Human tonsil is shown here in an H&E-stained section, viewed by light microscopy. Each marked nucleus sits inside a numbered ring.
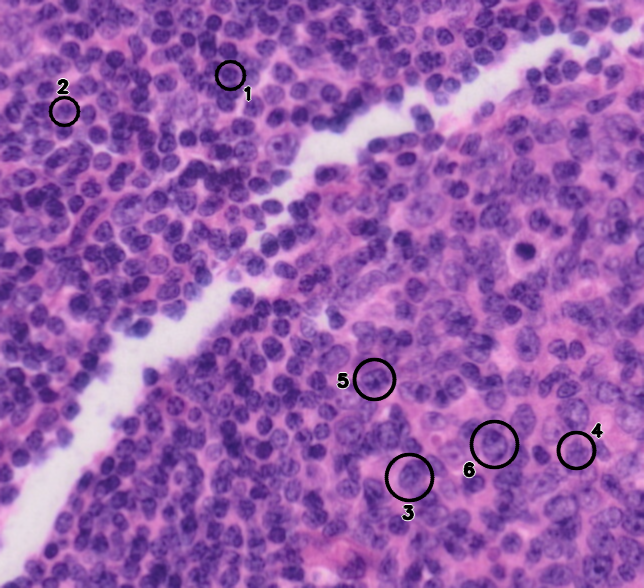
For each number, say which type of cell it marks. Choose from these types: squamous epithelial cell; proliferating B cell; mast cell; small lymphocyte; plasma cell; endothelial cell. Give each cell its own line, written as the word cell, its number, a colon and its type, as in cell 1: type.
cell 1: small lymphocyte
cell 2: small lymphocyte
cell 3: proliferating B cell
cell 4: proliferating B cell
cell 5: proliferating B cell
cell 6: proliferating B cell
